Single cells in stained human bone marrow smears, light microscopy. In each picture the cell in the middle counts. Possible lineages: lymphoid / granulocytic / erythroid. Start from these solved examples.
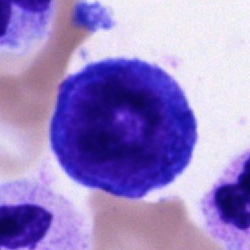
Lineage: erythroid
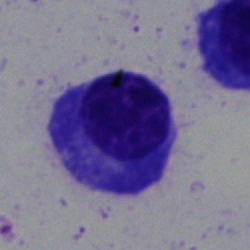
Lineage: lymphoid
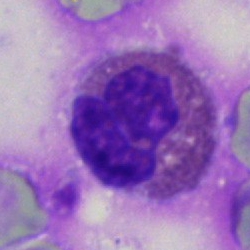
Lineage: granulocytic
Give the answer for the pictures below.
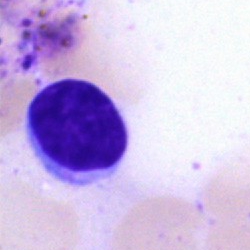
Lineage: lymphoid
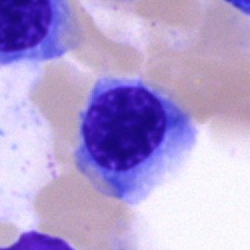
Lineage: erythroid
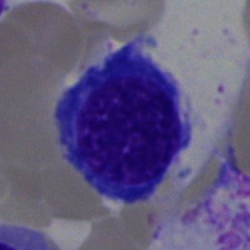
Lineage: erythroid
